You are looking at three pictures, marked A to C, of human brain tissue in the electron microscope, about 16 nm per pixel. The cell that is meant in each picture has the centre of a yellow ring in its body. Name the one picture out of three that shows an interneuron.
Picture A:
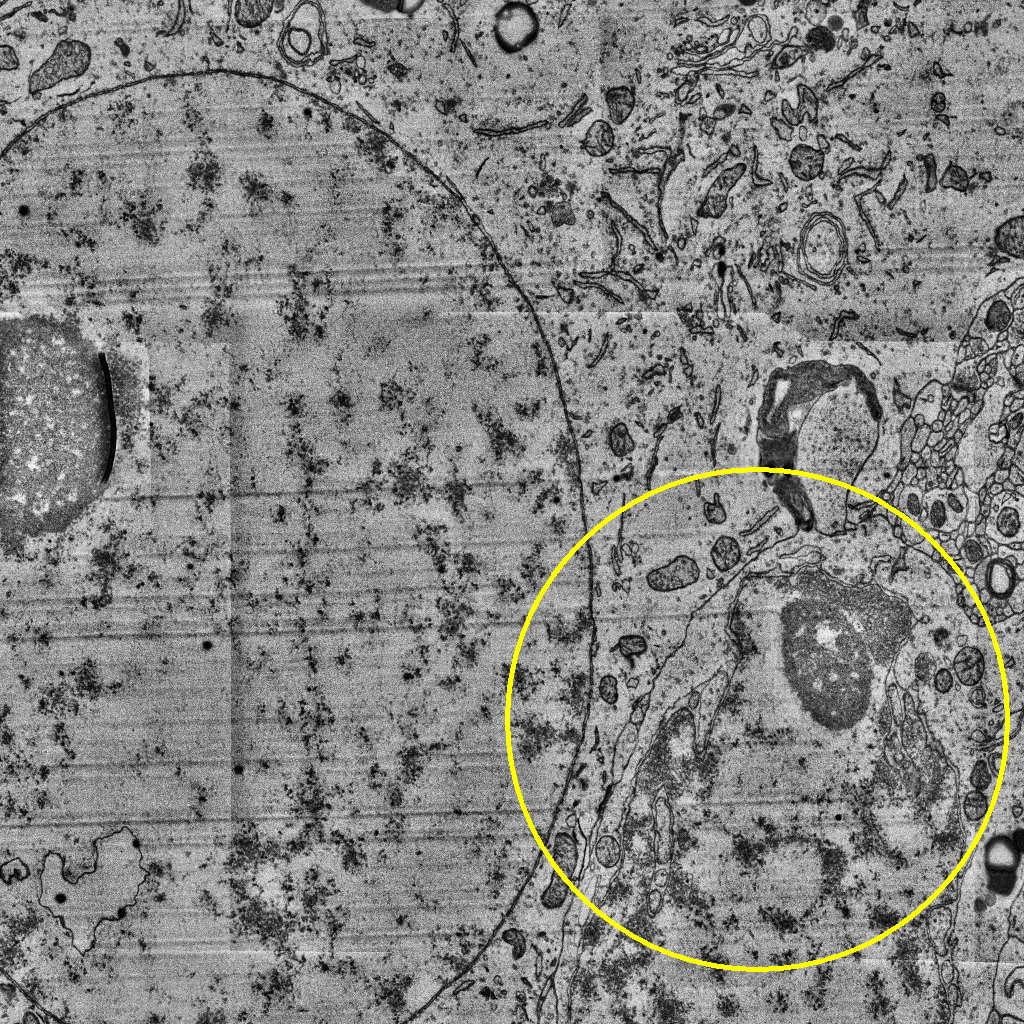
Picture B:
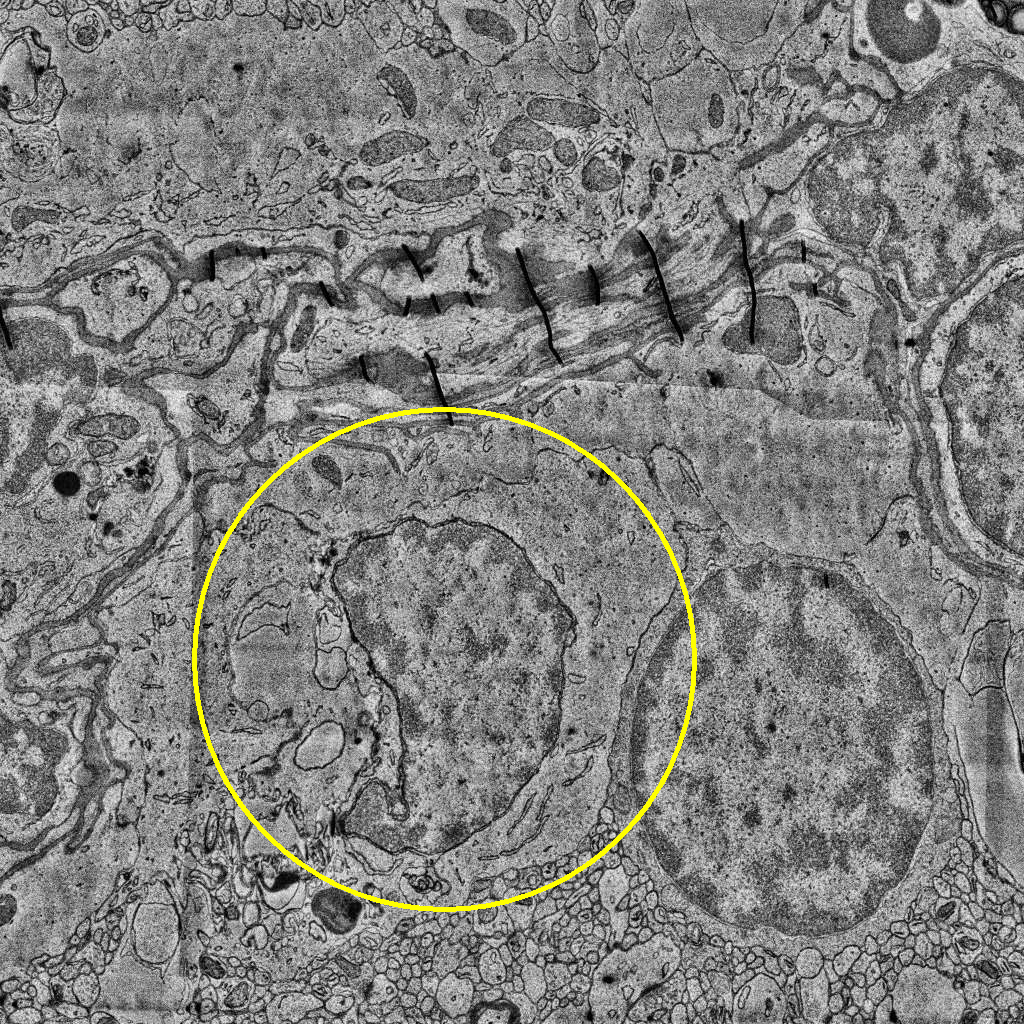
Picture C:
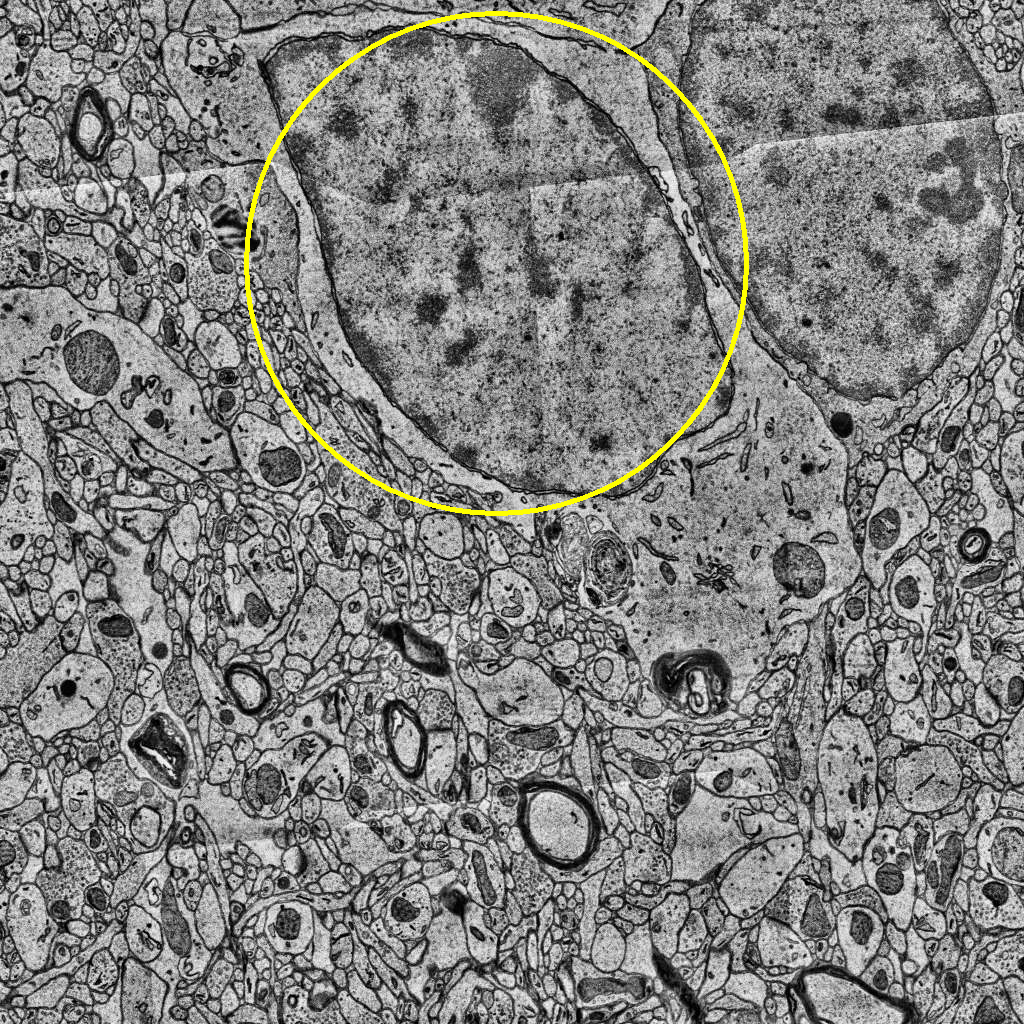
The interneuron is the one in picture A.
